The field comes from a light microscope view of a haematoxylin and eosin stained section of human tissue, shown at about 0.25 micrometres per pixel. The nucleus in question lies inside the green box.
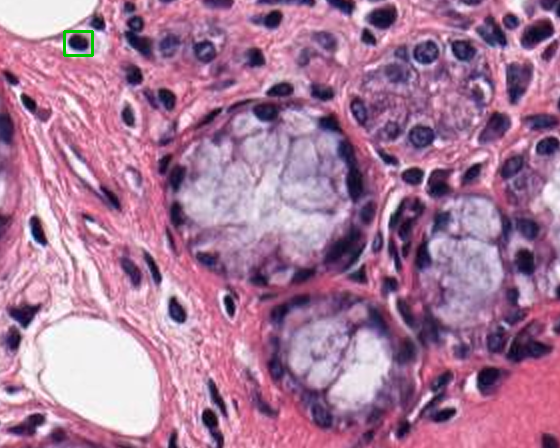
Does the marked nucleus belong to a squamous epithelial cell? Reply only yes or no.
no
